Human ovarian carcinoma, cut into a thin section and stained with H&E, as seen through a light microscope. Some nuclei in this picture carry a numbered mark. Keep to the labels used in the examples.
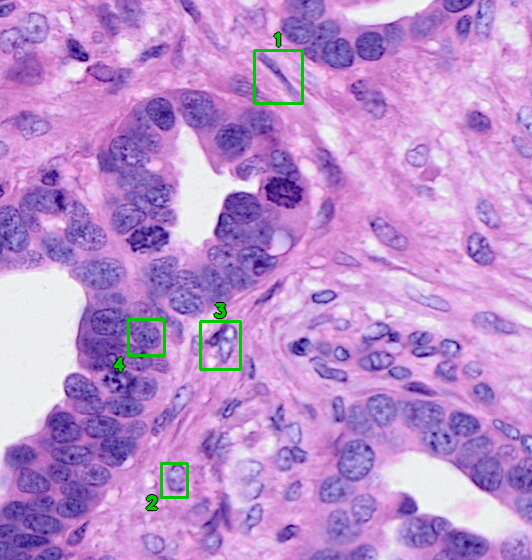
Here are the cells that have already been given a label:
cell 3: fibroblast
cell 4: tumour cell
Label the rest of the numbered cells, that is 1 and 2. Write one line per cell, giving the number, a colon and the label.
1: fibroblast
2: fibroblast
